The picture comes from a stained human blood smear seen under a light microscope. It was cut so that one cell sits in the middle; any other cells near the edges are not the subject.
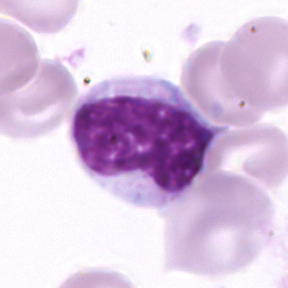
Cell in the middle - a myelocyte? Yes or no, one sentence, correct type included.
No, the label for the central cell is a metamyelocyte, not a myelocyte.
